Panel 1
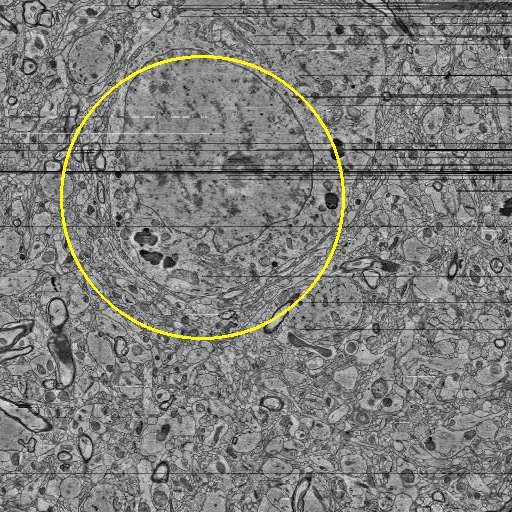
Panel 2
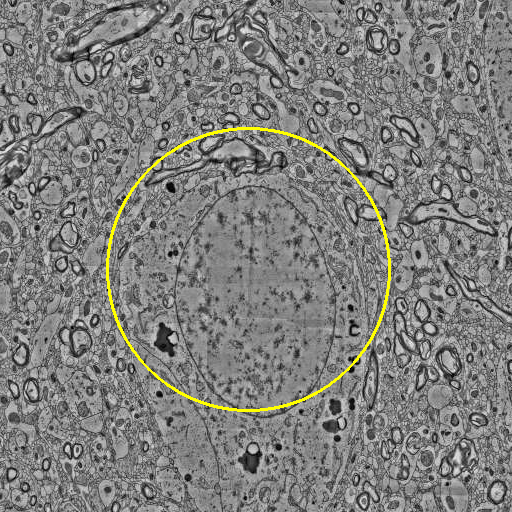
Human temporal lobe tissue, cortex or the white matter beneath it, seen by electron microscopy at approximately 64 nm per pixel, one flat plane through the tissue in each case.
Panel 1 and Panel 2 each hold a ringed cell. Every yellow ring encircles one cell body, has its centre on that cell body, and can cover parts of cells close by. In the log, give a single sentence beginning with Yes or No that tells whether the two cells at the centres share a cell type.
Yes, in Panel 1 and Panel 2 the centred cells share a cell type.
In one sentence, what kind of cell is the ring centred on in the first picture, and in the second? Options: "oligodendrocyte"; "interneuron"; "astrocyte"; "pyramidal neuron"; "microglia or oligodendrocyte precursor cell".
Each cell, in the first picture and the second, is a pyramidal neuron.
